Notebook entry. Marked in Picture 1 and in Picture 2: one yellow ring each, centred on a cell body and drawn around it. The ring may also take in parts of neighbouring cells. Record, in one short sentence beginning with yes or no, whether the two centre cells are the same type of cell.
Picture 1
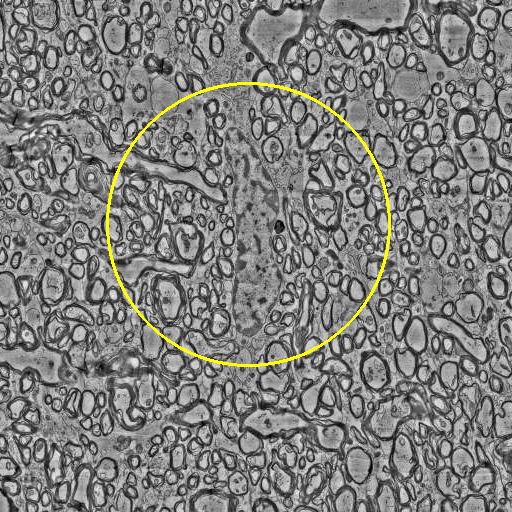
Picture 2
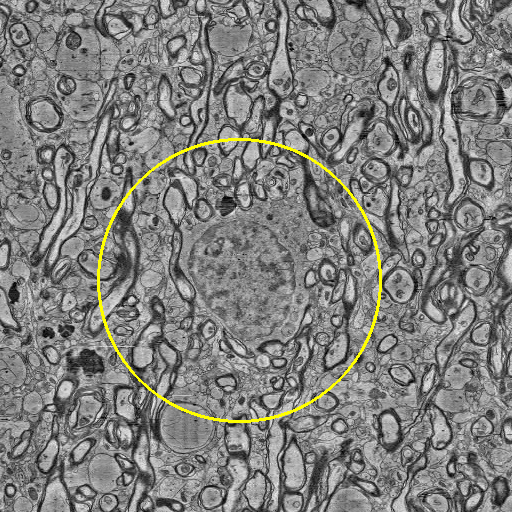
No, they are two types of cell.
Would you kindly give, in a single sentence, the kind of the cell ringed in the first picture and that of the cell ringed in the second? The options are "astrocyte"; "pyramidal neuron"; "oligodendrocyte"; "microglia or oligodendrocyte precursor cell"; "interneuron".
The second cell is an oligodendrocyte, and the first cell is a microglial cell or oligodendrocyte precursor cell.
